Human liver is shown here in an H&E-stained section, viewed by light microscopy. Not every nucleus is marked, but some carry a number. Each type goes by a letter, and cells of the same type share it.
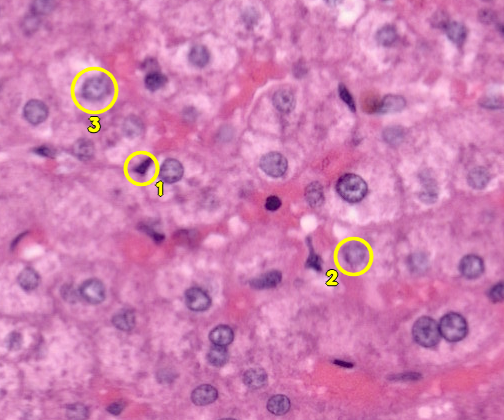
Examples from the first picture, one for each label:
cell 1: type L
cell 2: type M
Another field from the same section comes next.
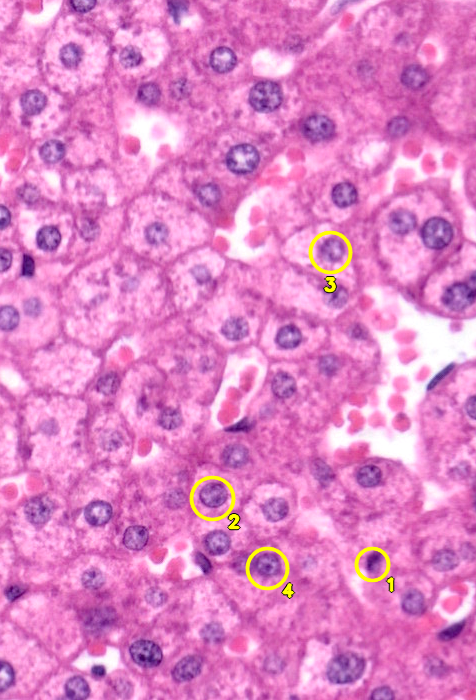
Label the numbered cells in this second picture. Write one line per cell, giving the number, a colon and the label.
1: type L
2: type M
3: type M
4: type M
